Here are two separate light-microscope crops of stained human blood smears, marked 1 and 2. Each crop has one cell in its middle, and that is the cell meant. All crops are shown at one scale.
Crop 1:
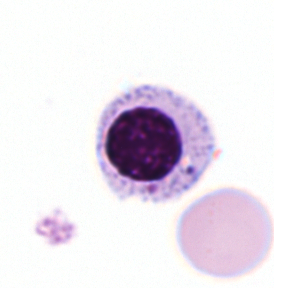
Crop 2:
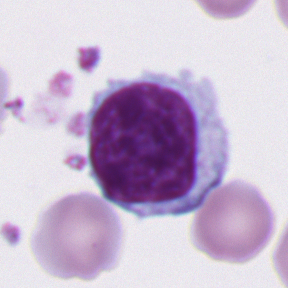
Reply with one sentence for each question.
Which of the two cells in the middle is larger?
Larger is the cell in crop 2, at roughly 1.5 times the area of the other.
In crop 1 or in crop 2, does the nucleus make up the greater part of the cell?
The nucleus fills more of the cell in crop 2 than in crop 1.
